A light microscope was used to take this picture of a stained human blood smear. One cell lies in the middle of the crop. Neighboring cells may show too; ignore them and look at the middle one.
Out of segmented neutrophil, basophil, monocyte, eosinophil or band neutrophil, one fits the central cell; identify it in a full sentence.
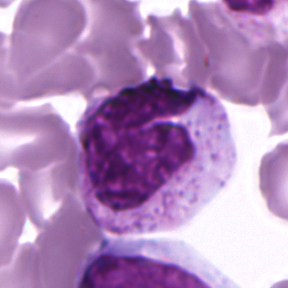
This particular crop is centered on a band neutrophil.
